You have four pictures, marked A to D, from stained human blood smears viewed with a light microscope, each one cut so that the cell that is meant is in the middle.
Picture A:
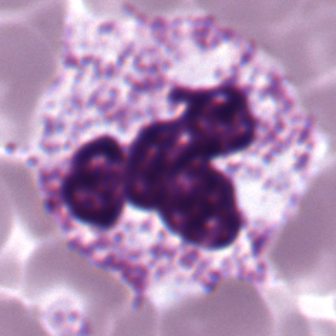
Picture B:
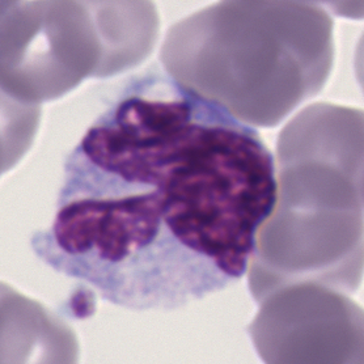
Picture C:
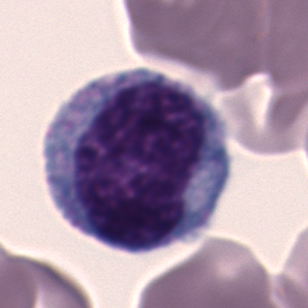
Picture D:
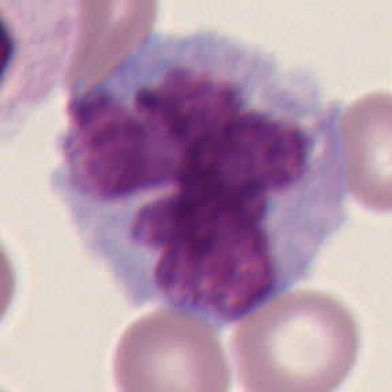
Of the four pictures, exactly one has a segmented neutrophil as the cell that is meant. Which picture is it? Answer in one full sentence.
Picture A is the one that shows the segmented neutrophil.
